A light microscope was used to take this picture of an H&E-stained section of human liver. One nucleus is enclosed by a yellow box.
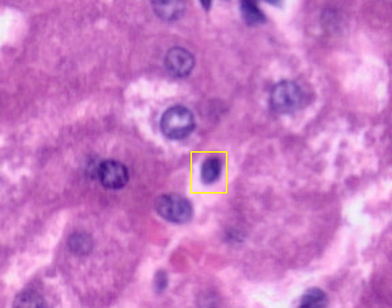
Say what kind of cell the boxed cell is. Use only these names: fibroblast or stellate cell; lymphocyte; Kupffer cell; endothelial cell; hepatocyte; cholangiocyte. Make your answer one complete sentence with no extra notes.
Labelled by cell type, the boxed cell is a lymphocyte.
